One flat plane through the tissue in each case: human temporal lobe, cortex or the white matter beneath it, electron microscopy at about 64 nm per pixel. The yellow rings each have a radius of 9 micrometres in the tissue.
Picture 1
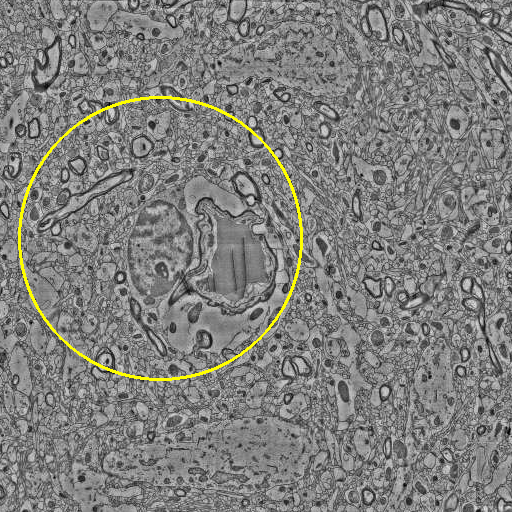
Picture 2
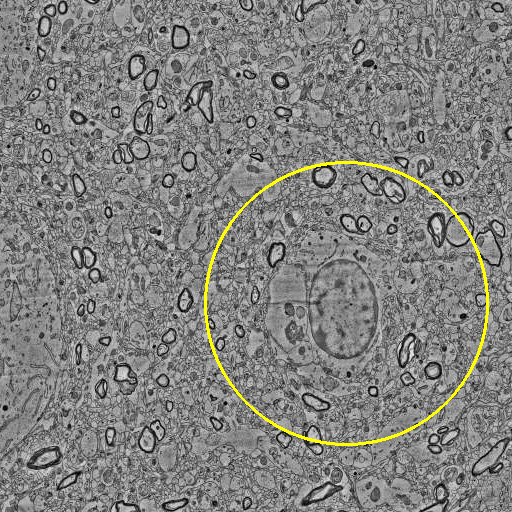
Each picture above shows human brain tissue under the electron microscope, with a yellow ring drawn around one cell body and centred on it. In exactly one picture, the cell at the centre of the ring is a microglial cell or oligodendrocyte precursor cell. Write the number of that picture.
2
